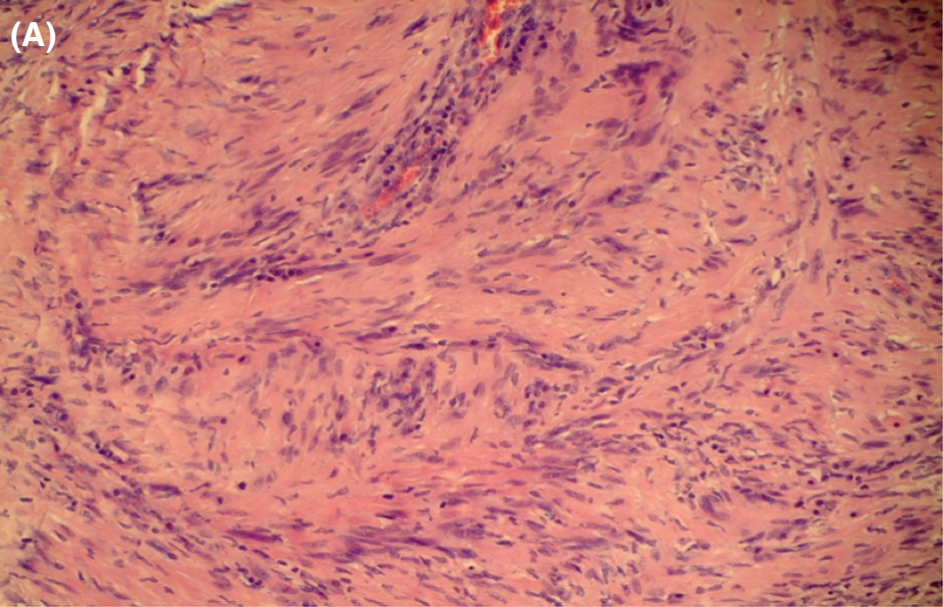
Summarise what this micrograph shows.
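This is a spindle cell tumor made up of elongated cells set in a pink fibrillary background. The nuclei are slender, elongated and often wavy or tapered, stained dark purple. The cells run in interlacing bundles that sweep in different directions across the field. Some areas are packed with nuclei while others are paler and contain fewer cells and more pink fibrillary material. Near the top, a small blood vessel containing red blood cells is surrounded by a denser cluster of cells.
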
